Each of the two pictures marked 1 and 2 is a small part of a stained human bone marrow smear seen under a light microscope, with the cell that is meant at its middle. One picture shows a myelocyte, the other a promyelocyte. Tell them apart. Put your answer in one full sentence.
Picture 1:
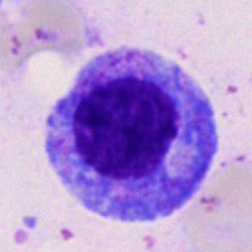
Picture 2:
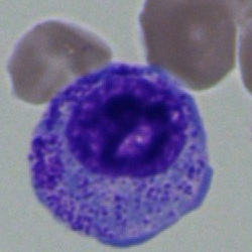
Picture 1 shows a promyelocyte and picture 2 shows a myelocyte.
